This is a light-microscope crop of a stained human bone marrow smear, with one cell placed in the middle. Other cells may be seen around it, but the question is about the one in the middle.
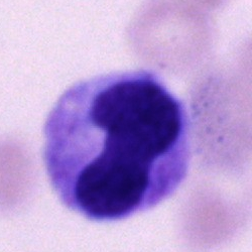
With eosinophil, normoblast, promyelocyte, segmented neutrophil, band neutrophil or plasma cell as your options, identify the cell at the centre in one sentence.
The centrally positioned cell in the crop represents a band neutrophil.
